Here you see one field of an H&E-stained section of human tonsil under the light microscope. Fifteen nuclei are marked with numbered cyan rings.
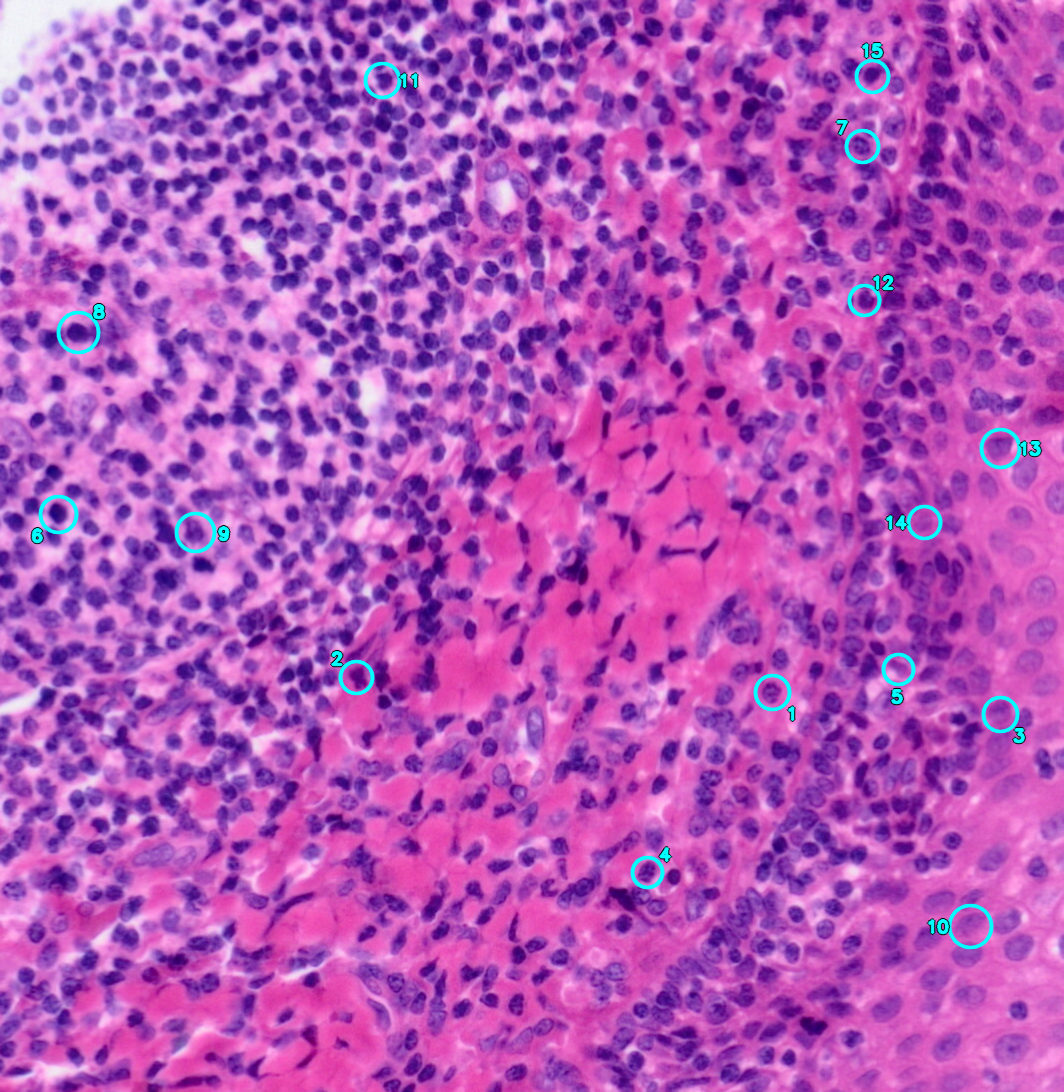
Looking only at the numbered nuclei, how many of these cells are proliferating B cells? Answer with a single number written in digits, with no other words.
3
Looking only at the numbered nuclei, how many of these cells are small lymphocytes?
1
